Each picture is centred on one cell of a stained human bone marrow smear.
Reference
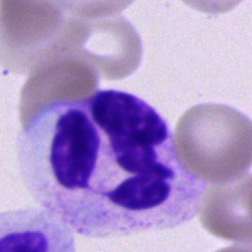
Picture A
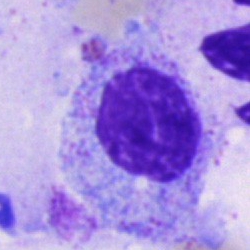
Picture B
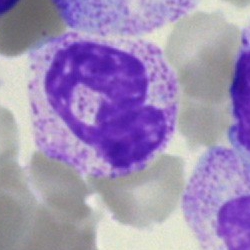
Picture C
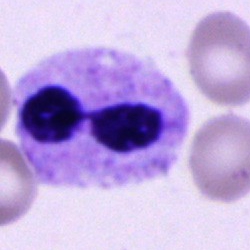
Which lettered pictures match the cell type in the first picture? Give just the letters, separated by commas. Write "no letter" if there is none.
B, C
